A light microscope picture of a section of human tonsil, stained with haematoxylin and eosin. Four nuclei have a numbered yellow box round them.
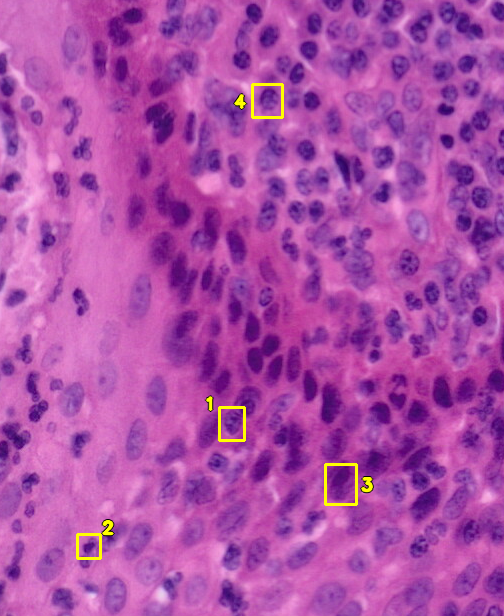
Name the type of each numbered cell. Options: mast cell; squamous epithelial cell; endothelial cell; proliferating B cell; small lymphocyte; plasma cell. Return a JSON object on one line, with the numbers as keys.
{"1": "squamous epithelial cell", "2": "squamous epithelial cell", "3": "squamous epithelial cell", "4": "plasma cell"}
